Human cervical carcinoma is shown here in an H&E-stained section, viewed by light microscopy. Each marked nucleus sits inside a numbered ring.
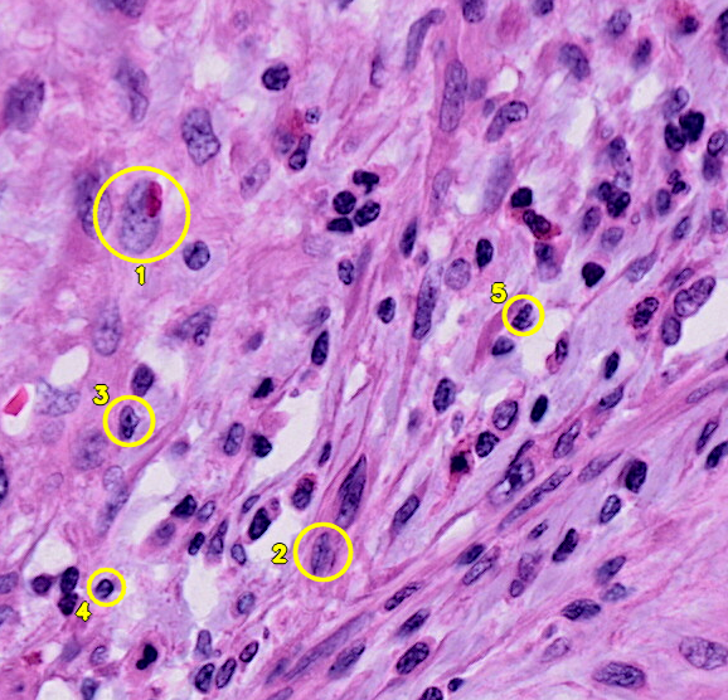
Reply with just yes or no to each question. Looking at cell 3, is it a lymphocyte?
yes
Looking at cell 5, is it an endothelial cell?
no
